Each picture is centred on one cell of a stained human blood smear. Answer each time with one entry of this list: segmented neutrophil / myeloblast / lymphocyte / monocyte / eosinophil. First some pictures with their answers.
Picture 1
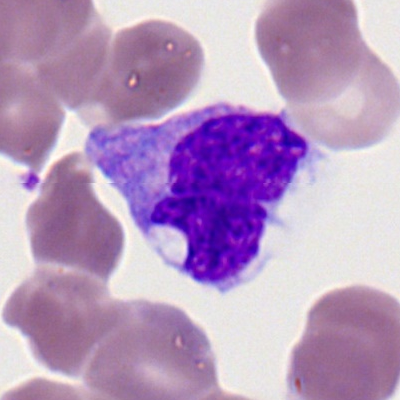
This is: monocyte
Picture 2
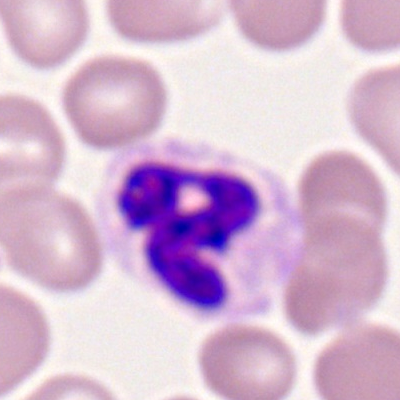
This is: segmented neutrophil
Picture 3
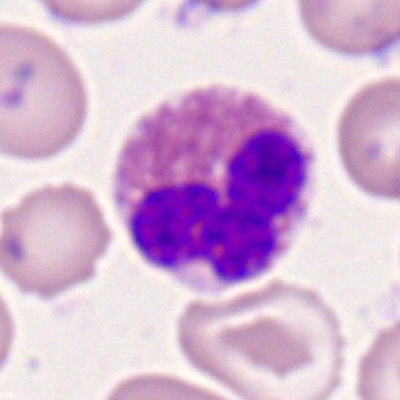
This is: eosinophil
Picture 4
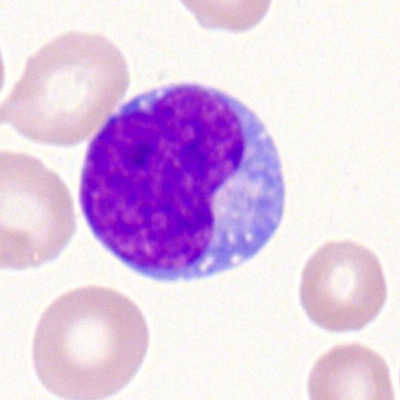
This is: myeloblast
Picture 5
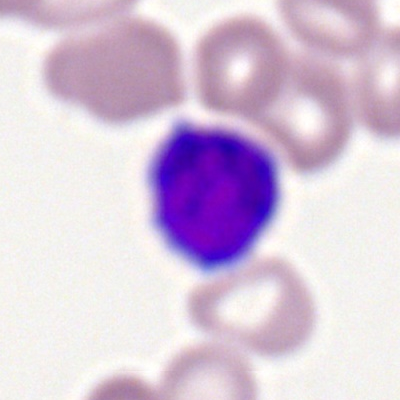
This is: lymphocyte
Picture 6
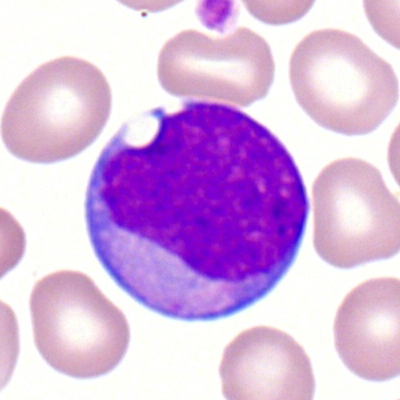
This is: myeloblast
